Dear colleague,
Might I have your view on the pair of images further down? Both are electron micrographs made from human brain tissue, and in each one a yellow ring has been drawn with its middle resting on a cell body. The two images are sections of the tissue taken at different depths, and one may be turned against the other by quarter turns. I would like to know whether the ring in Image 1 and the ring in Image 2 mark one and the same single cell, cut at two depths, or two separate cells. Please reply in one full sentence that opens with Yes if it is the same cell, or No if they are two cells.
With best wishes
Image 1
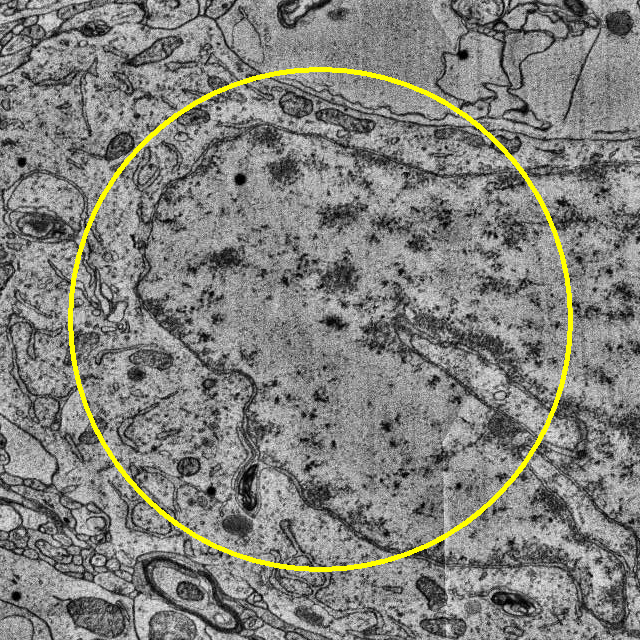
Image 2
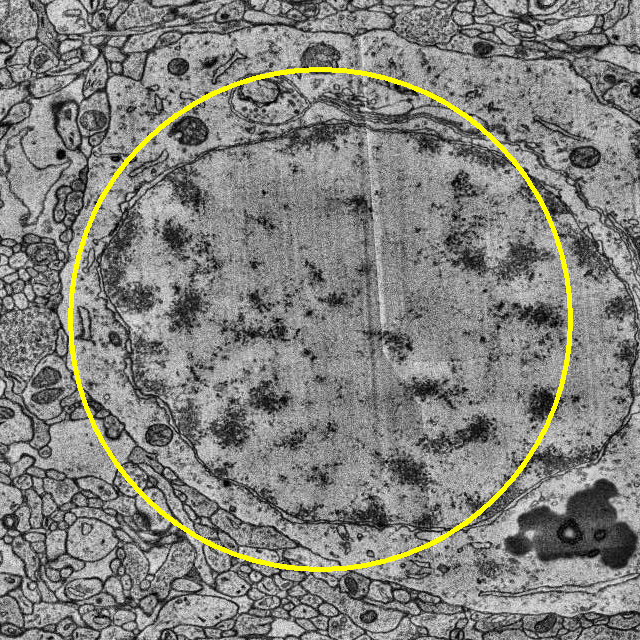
No, these are two different cells, each marked with a ring.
